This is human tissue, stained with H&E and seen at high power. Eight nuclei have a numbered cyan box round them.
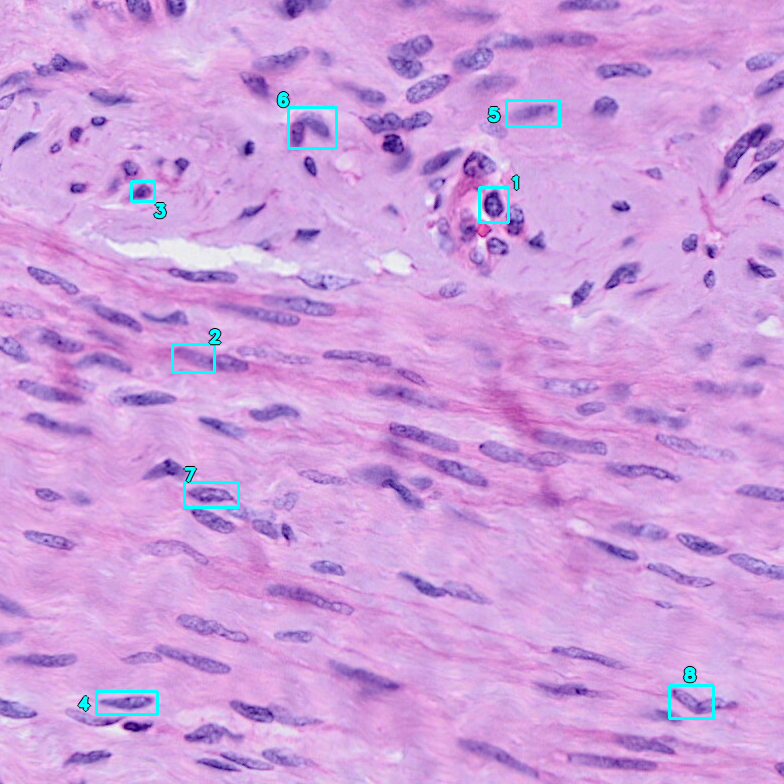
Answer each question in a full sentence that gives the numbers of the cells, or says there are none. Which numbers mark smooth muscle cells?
Cells 2, 3 and 8 in the section are typed as smooth muscle cells.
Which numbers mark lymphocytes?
It is true of every numbered cell that it is not one of the lymphocytes.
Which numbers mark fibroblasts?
The cells with the number labels 4, 5, 6 and 7 are fibroblasts.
